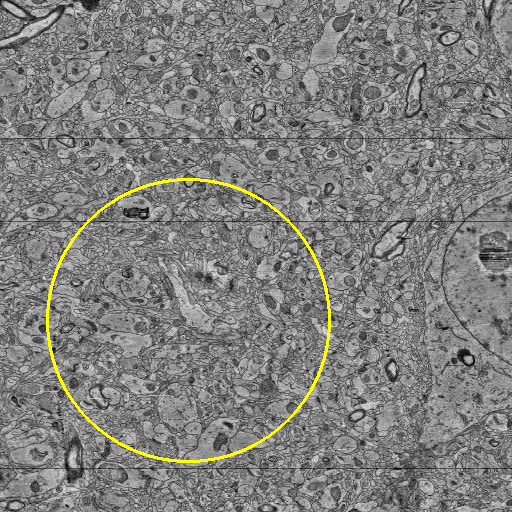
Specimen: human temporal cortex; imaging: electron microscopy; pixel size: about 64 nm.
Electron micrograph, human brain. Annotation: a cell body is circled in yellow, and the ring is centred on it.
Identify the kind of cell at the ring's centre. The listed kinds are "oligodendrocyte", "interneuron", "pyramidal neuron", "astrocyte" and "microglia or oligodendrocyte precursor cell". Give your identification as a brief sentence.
The circled cell body is that of an oligodendrocyte.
